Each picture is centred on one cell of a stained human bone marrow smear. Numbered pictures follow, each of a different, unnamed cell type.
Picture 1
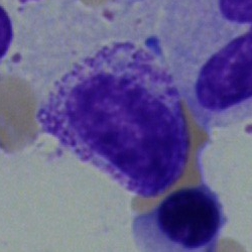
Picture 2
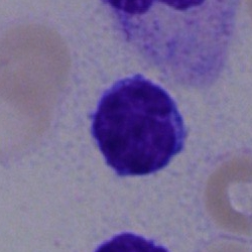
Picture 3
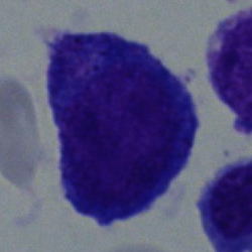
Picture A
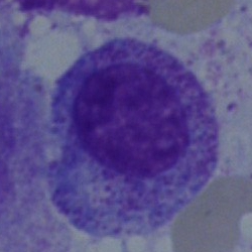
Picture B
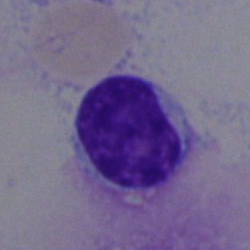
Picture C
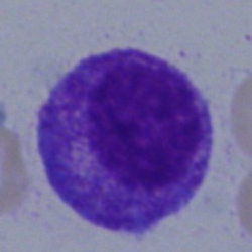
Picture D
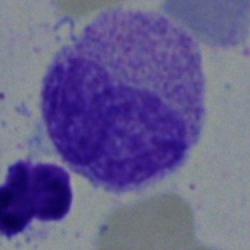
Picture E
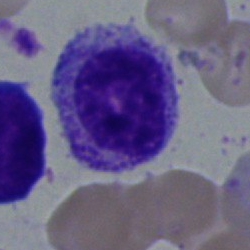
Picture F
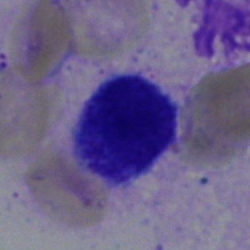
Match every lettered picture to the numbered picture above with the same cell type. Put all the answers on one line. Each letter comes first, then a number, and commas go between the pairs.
A 1, B 2, C 3, D 1, E 1, F 2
